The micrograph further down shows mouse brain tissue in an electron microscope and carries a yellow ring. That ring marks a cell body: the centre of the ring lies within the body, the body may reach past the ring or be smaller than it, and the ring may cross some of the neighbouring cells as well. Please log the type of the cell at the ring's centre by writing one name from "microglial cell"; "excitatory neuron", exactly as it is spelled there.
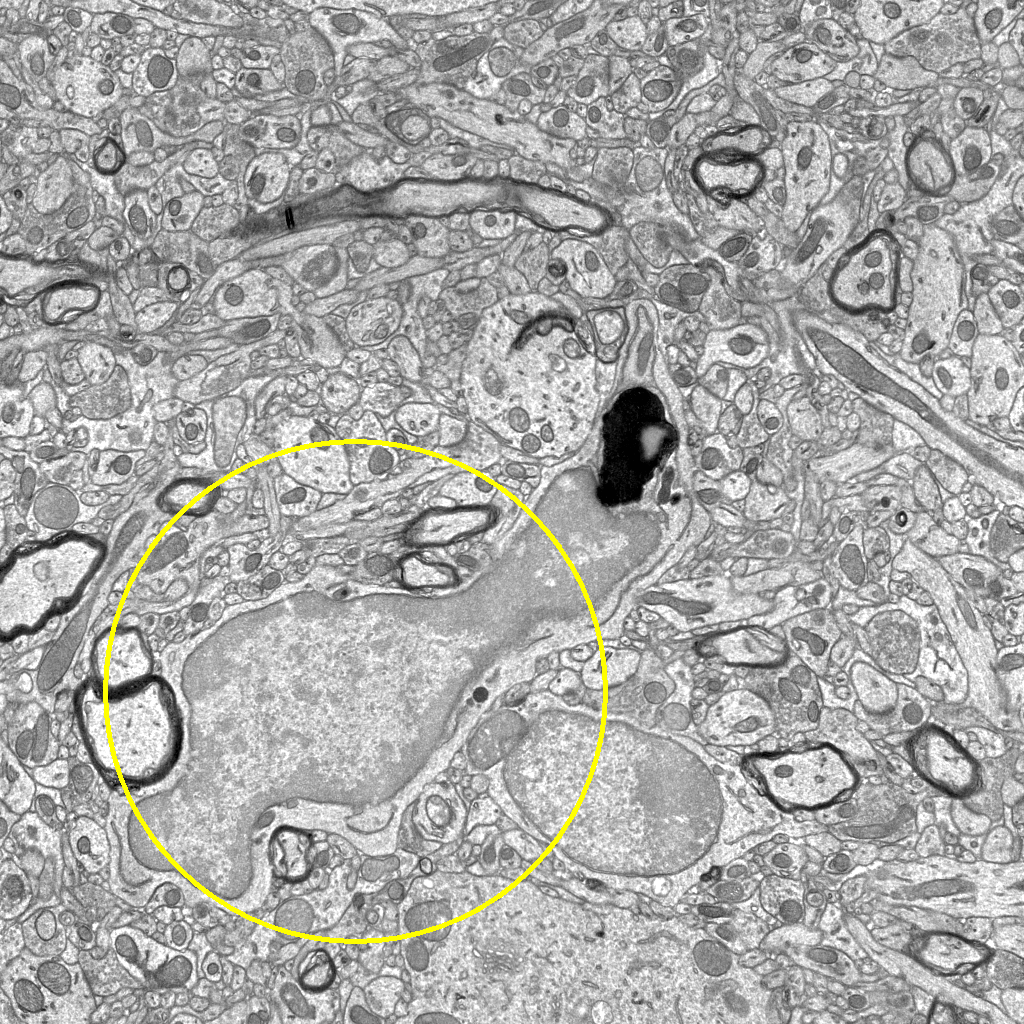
microglial cell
